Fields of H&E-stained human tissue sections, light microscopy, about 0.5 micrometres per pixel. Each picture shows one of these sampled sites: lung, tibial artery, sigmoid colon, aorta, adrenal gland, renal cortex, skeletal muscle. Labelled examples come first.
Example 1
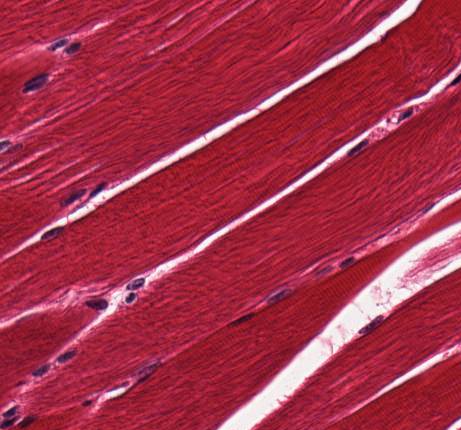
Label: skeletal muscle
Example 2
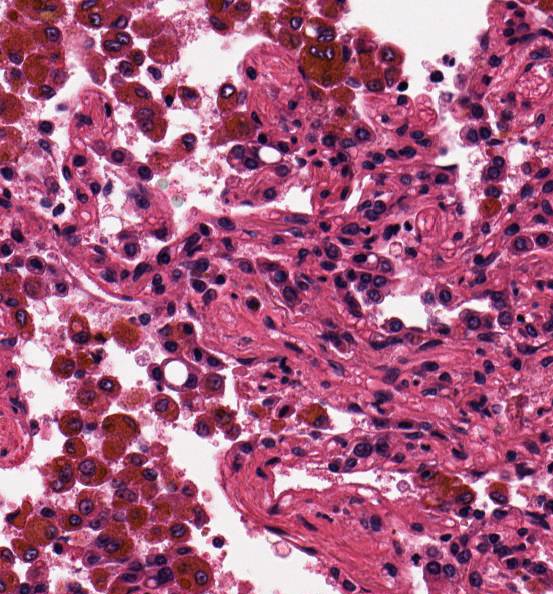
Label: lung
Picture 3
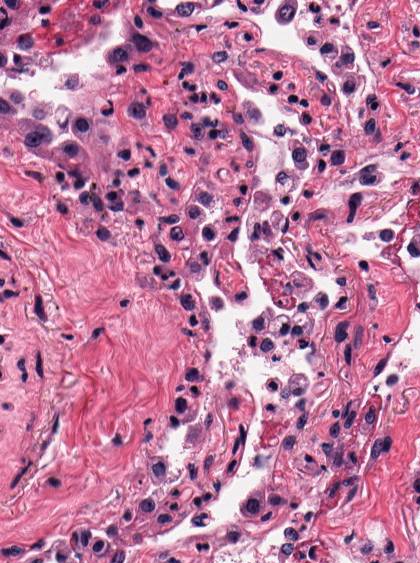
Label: lung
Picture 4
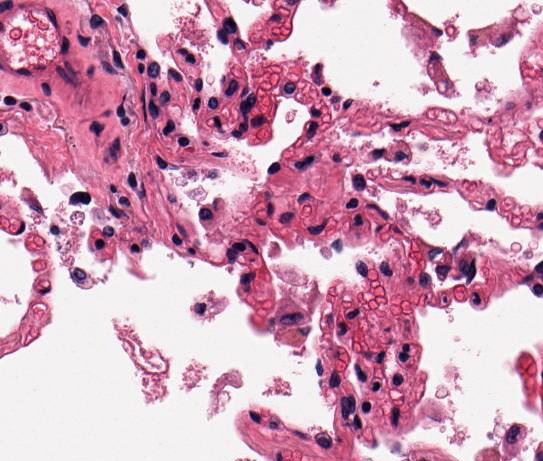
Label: lung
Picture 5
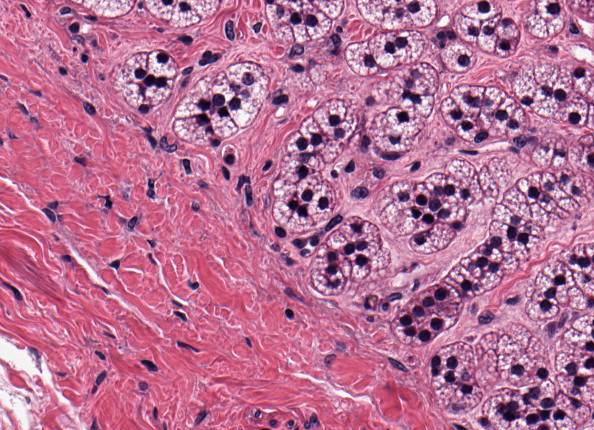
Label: adrenal gland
